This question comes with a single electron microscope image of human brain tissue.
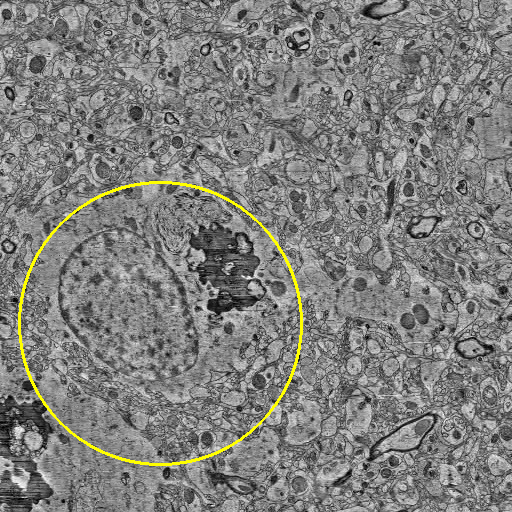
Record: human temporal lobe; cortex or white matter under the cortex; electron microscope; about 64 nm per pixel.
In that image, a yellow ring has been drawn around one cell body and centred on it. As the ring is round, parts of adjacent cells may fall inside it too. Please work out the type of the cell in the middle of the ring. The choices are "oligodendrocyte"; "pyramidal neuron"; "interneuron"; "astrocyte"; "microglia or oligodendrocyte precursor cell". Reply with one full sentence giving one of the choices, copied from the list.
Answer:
Of the choices, an astrocyte is the cell sitting in the middle of the ring.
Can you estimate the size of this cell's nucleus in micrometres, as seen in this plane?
The nucleus of the ringed cell is approximately 11 by 7 micrometres in this plane.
